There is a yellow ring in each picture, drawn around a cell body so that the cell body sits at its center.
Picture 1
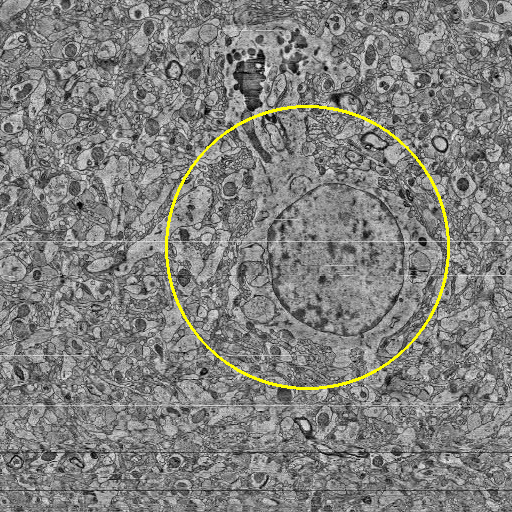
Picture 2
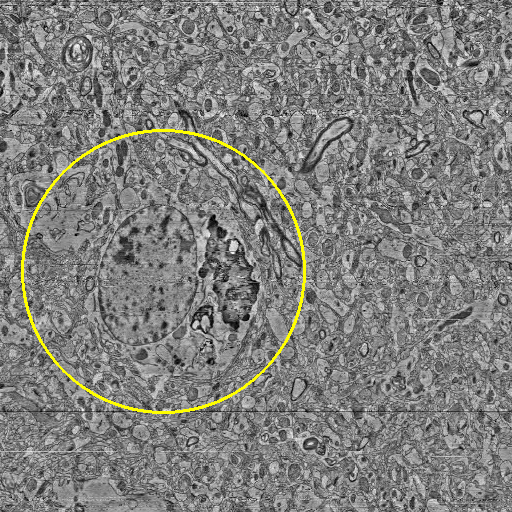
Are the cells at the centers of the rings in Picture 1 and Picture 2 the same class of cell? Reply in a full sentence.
Yes, the two cells are the same class of cell.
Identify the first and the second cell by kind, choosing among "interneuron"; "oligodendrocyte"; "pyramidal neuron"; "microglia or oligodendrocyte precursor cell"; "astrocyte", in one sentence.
Each of the two rings is centred on an astrocyte.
